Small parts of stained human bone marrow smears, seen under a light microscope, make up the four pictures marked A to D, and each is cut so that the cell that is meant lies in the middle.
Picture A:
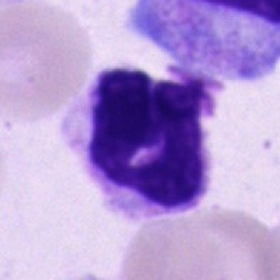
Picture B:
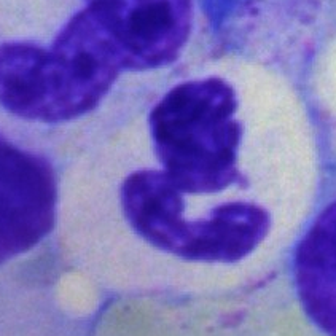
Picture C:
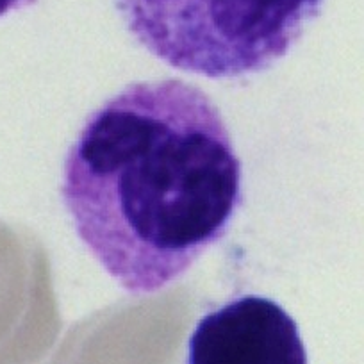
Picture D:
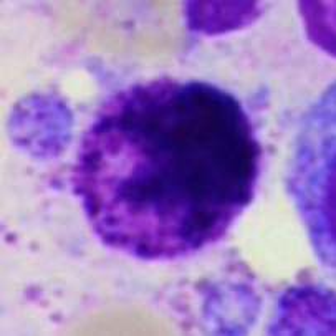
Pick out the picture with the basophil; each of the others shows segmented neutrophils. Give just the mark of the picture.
D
